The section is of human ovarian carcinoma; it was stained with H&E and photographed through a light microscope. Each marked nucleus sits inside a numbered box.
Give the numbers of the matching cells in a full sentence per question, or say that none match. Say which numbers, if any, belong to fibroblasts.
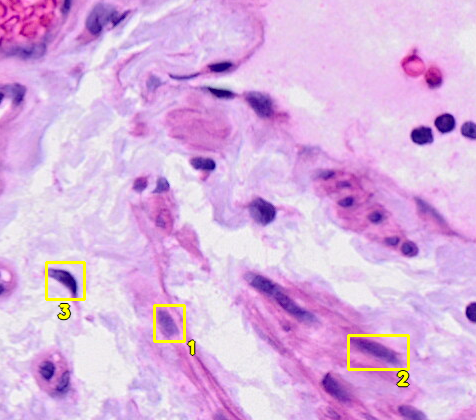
Cell 3 is a fibroblast, and this holds for no other numbered cell.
